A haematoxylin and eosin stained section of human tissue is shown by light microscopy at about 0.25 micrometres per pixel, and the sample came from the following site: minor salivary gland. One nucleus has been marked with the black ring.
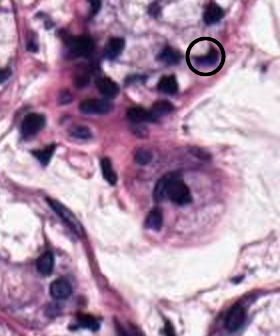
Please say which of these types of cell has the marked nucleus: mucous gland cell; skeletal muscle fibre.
mucous gland cell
